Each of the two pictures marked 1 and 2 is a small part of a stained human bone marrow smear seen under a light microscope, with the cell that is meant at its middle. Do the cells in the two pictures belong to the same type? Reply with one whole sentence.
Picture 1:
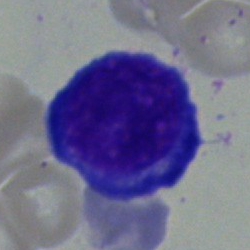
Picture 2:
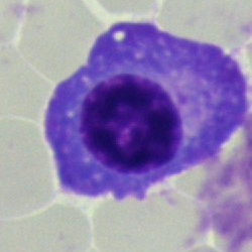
No. Picture 1 shows a proerythroblast, but picture 2 shows a plasma cell.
